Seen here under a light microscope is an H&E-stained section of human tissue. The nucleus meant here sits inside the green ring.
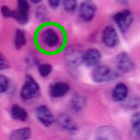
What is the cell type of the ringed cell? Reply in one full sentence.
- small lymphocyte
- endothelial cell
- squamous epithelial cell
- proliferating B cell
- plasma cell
Right, so the ringed cell is a plasma cell, to answer that.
